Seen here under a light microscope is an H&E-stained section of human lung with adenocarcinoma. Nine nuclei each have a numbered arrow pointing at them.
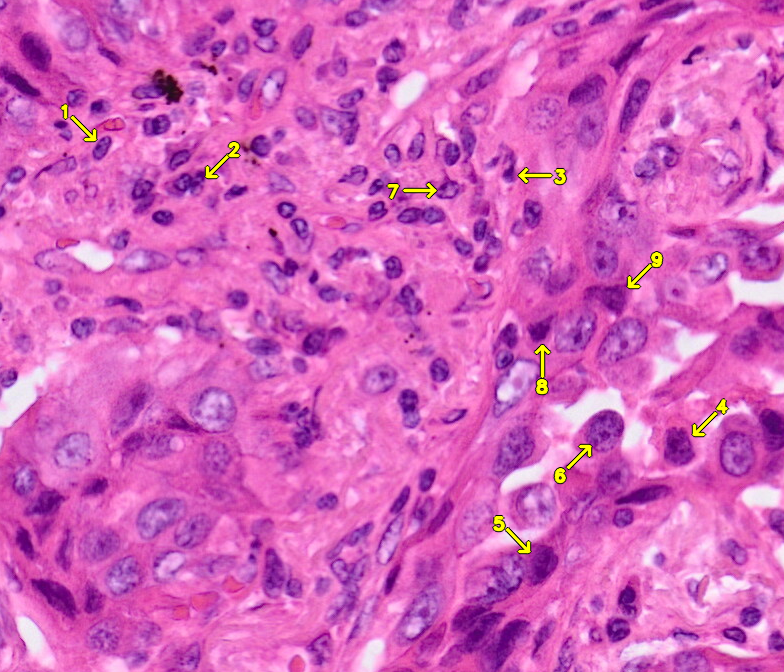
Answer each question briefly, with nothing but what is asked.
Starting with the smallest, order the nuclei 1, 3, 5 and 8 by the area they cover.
3, 1, 8, 5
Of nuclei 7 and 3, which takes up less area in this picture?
3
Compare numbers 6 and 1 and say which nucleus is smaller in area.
1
